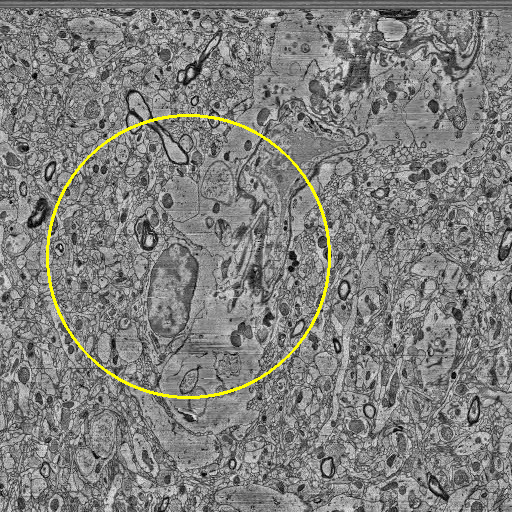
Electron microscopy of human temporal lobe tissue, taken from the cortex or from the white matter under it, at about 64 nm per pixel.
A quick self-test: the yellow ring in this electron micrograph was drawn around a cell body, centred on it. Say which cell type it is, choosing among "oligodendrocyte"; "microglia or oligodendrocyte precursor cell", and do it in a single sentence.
The yellow-ringed cell is a microglial cell or oligodendrocyte precursor cell.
